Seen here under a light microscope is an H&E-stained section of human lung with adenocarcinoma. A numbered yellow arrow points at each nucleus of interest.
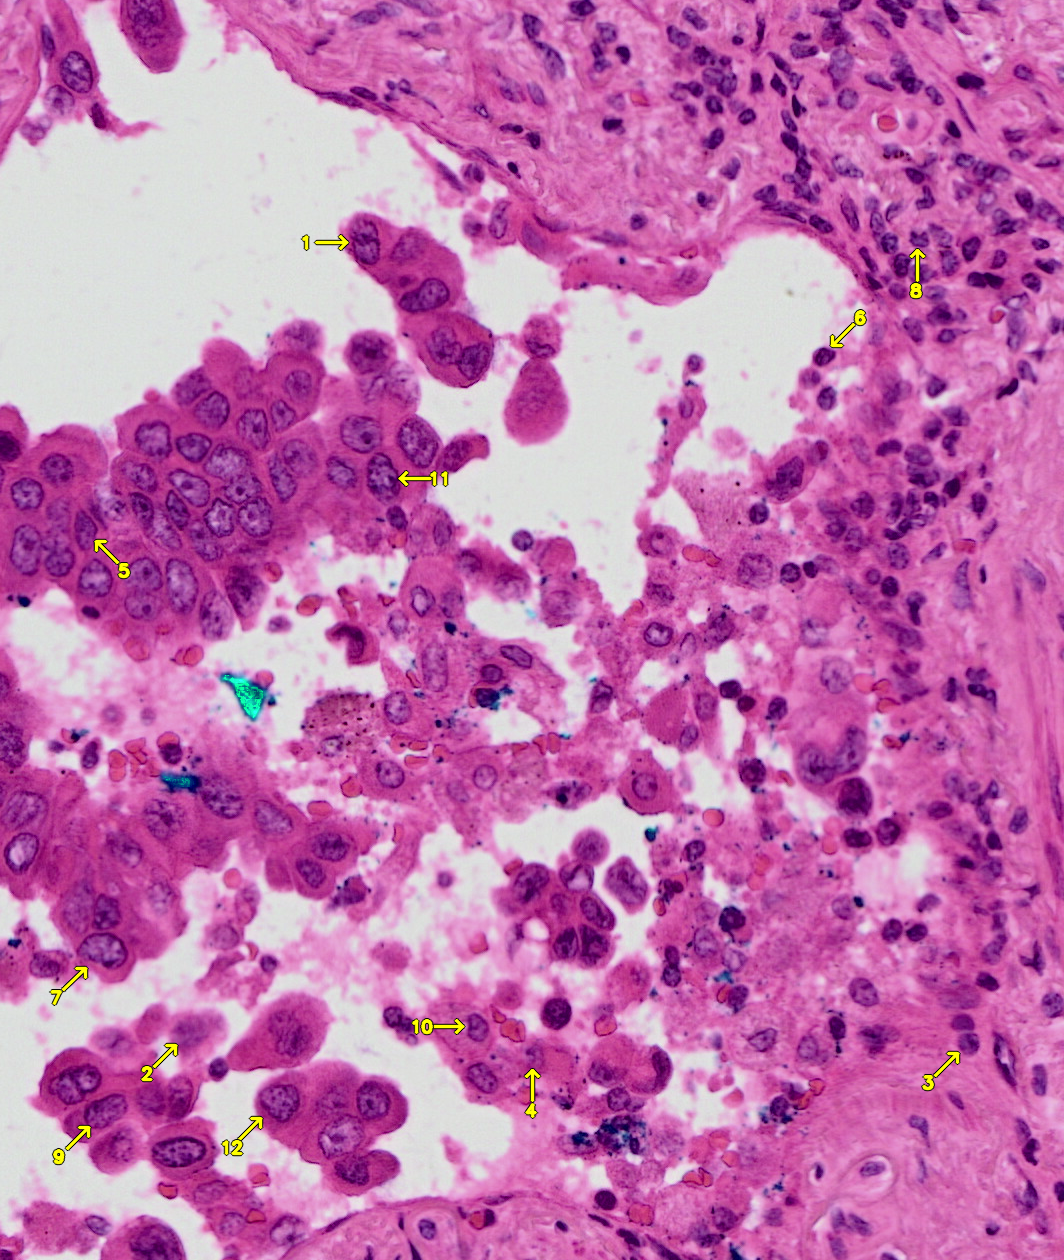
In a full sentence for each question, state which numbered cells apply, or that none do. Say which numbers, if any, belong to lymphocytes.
The cells with labels 3, 6 and 8 are lymphocytes.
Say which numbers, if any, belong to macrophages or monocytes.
The cells shown with numbers 4 and 10 are macrophages or monocytes.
